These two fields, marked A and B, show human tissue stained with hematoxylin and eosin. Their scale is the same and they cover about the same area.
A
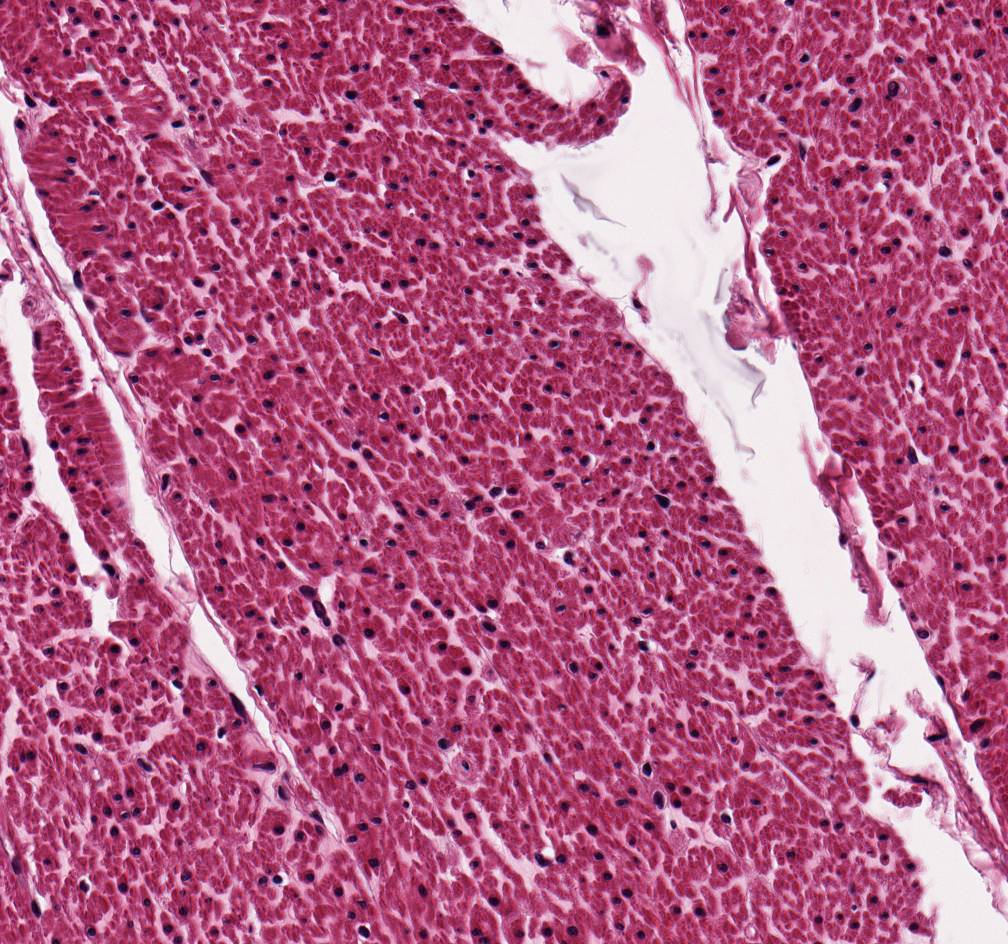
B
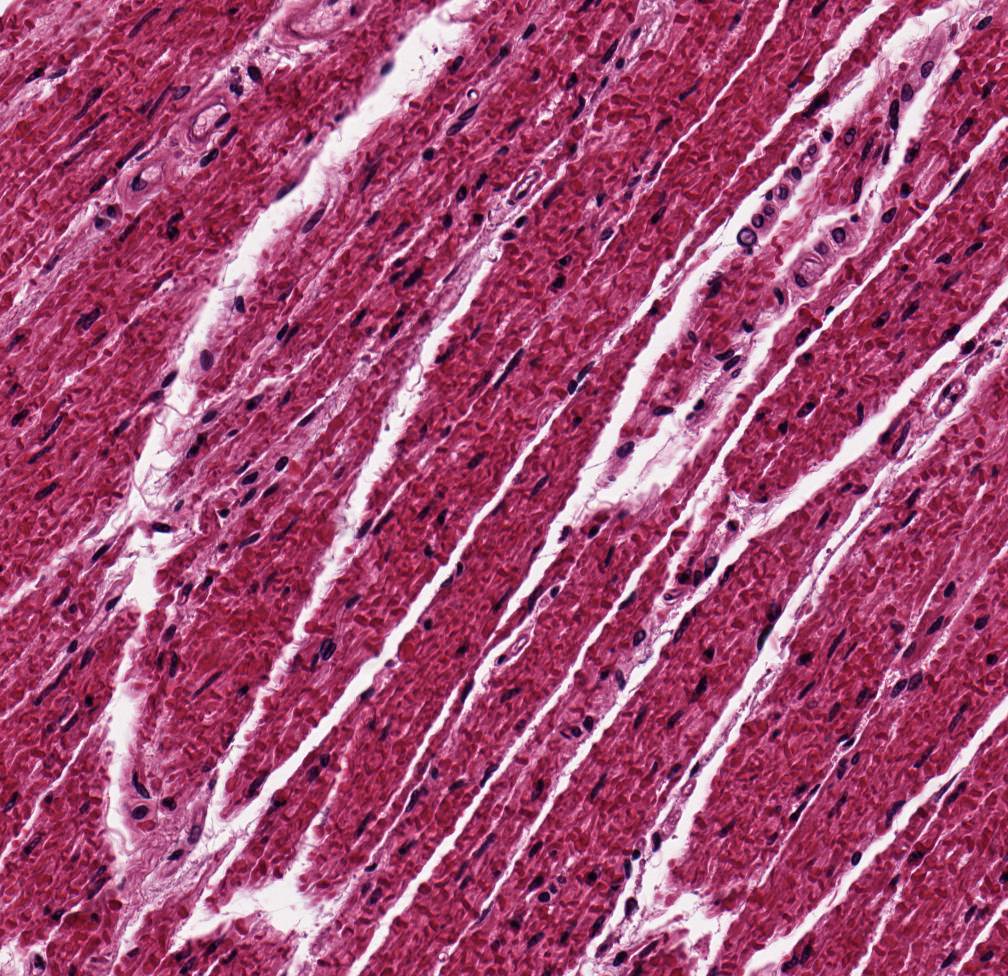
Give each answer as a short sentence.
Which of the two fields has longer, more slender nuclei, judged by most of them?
The nuclei are more elongated in field B.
